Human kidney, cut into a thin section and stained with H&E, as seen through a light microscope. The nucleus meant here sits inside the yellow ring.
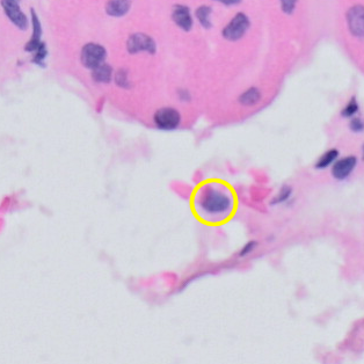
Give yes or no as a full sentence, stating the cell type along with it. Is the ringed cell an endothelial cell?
Yes, the ringed cell counts as an endothelial cell in this tissue.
